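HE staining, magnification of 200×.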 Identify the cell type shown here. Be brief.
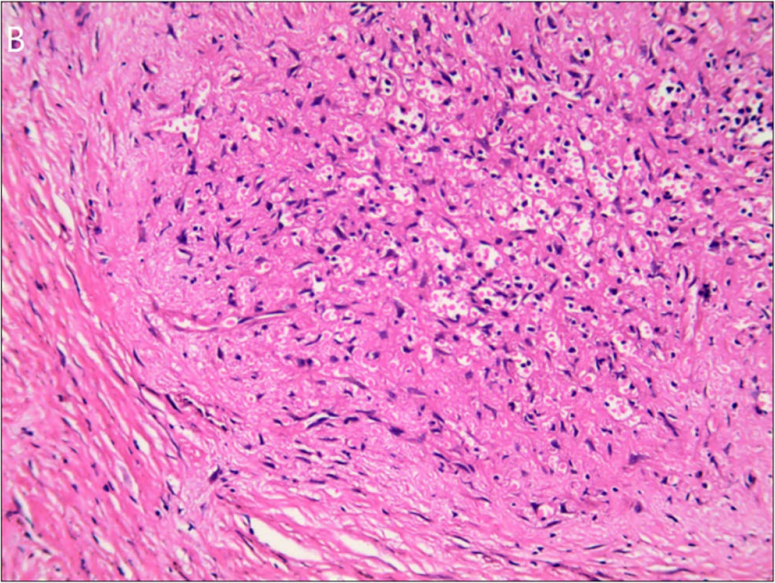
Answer: Fusiform and ovoid cells.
